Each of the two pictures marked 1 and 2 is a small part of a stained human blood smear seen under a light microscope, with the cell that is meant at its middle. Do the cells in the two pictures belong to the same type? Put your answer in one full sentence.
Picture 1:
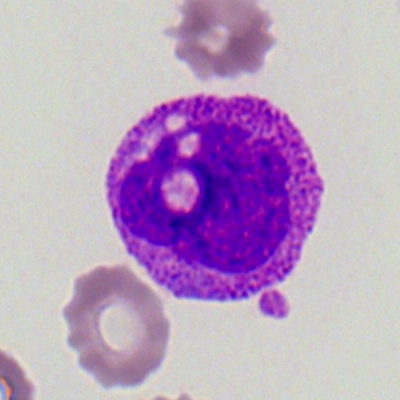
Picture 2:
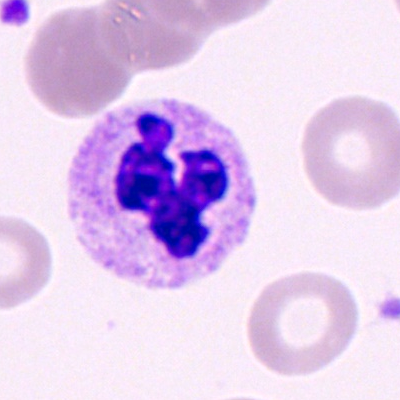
No, picture 1 shows a monocyte and picture 2 shows a segmented neutrophil.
